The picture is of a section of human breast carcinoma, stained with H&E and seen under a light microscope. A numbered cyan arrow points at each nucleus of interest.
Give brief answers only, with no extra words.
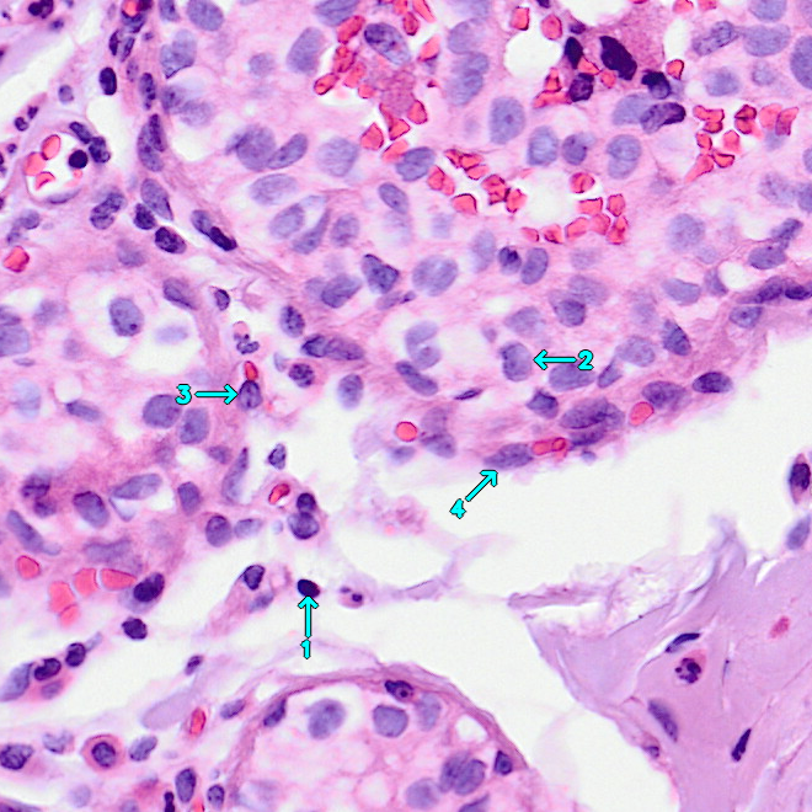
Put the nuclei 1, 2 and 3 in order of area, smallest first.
1, 3, 2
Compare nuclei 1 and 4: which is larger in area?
4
